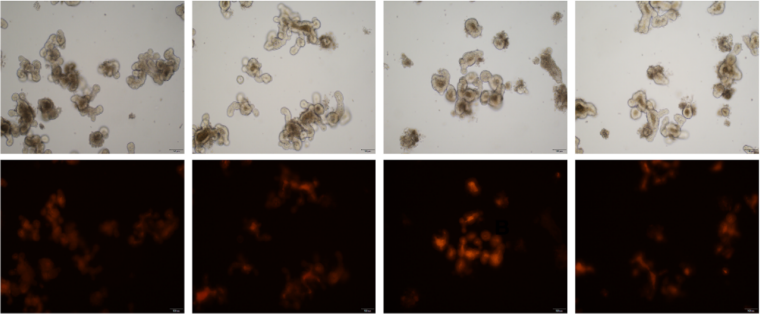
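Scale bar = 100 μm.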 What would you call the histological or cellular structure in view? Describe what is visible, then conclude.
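Intestinal organoids. Three-dimensional multicellular structures float free in the bright field images. Many of the structures have rounded central bodies with budding projections. The structures are rimmed by a thin epithelial wall.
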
